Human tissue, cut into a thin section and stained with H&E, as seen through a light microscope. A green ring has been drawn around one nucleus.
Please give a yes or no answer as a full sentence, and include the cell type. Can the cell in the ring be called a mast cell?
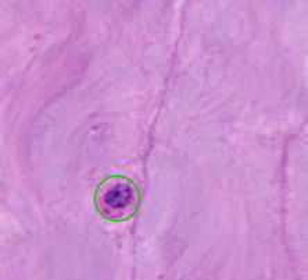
Yes, it is the case that the cell in the ring is a mast cell.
